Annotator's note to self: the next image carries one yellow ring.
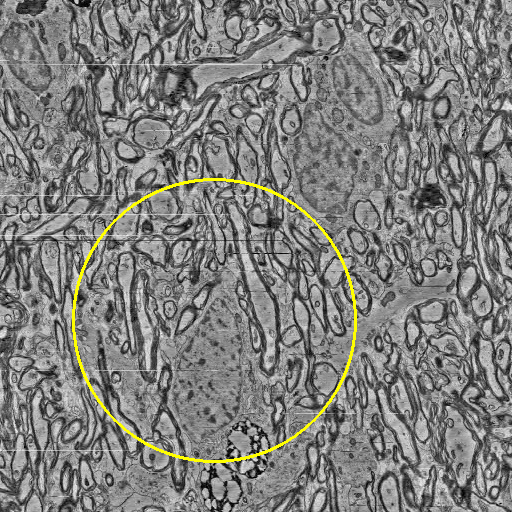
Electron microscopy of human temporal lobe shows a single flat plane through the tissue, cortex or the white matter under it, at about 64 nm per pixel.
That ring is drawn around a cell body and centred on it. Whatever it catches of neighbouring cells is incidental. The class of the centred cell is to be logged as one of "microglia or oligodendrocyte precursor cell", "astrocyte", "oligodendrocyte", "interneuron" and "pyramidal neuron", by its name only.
astrocyte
